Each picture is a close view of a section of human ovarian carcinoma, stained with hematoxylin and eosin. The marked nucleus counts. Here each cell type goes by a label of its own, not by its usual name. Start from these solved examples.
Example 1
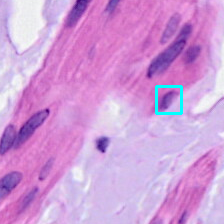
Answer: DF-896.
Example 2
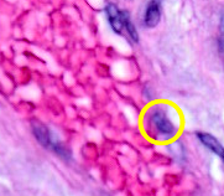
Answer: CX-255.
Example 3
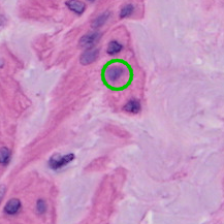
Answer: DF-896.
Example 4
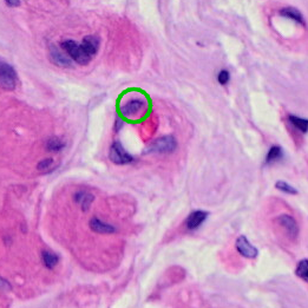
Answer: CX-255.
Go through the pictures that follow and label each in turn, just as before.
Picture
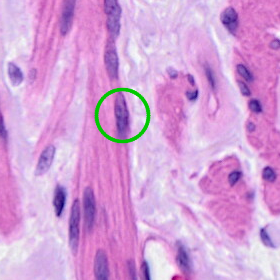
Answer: DF-896.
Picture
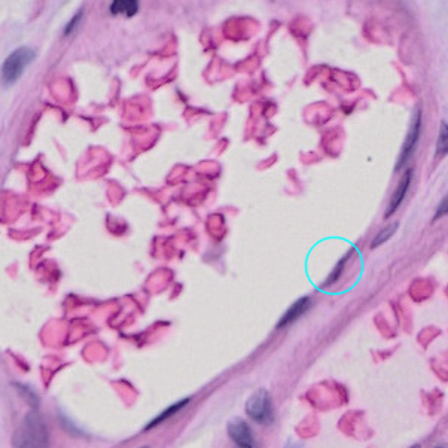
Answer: CX-255.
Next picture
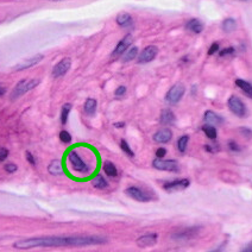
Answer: DF-896.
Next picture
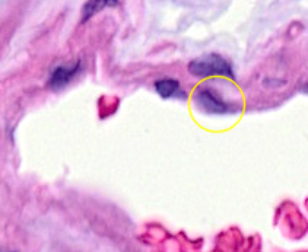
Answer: CX-255.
